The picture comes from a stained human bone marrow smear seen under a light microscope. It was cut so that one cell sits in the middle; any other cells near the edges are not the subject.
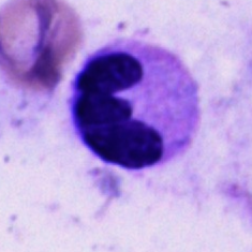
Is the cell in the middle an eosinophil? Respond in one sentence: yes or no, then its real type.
No, a segmented neutrophil, not an eosinophil, is what sits in the centre of the crop.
